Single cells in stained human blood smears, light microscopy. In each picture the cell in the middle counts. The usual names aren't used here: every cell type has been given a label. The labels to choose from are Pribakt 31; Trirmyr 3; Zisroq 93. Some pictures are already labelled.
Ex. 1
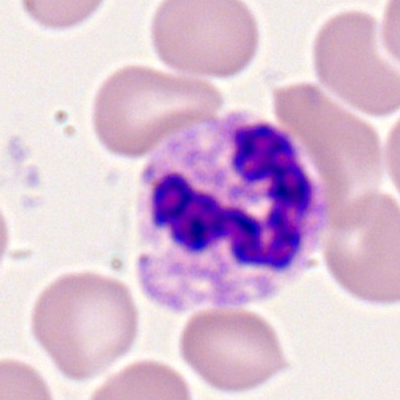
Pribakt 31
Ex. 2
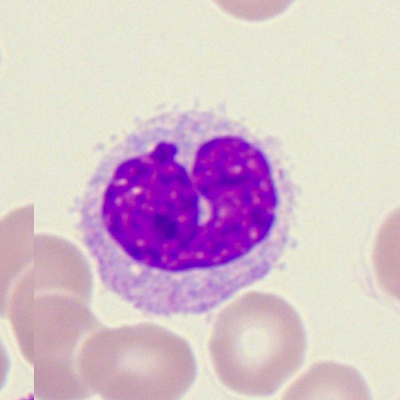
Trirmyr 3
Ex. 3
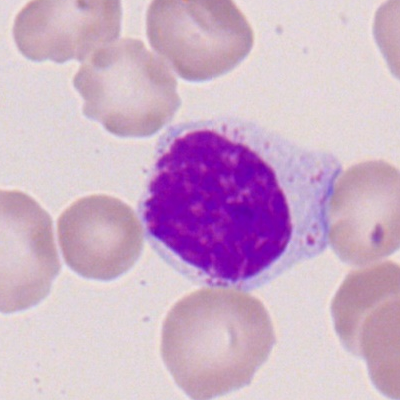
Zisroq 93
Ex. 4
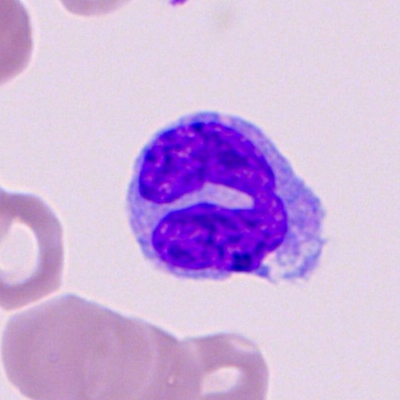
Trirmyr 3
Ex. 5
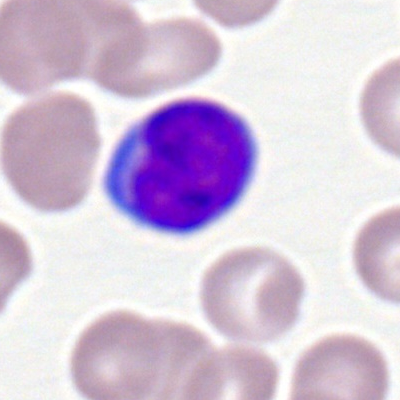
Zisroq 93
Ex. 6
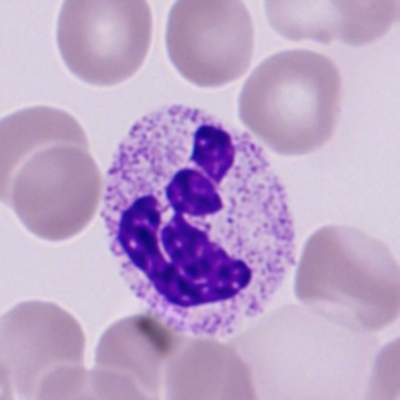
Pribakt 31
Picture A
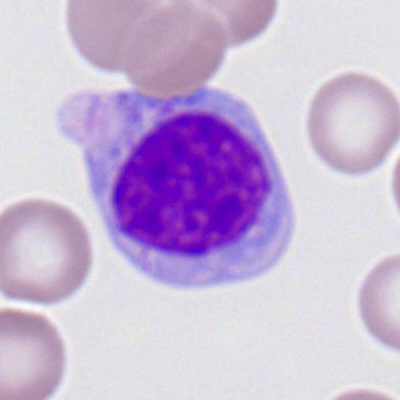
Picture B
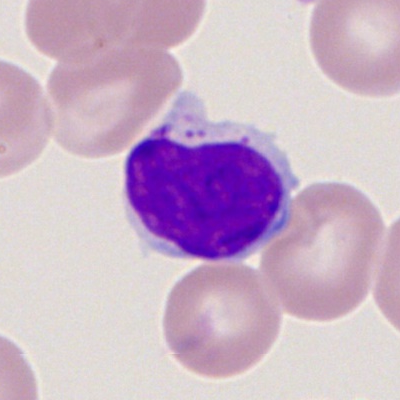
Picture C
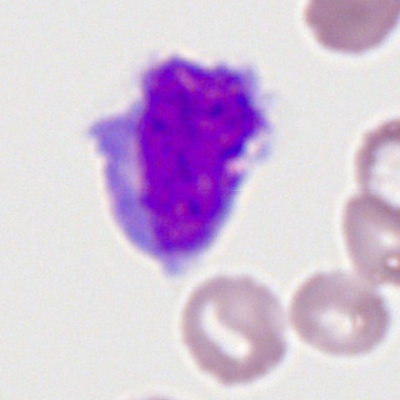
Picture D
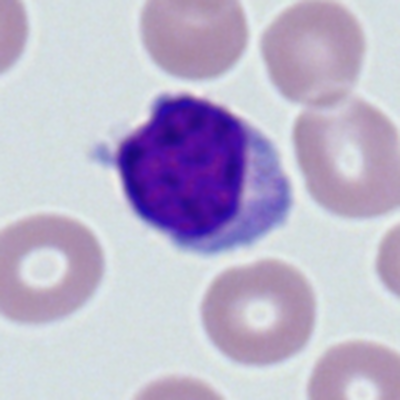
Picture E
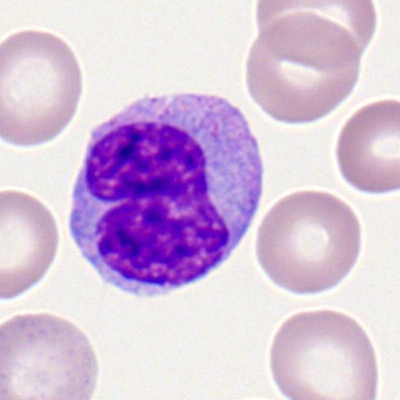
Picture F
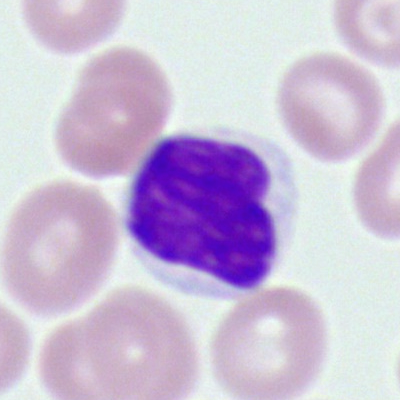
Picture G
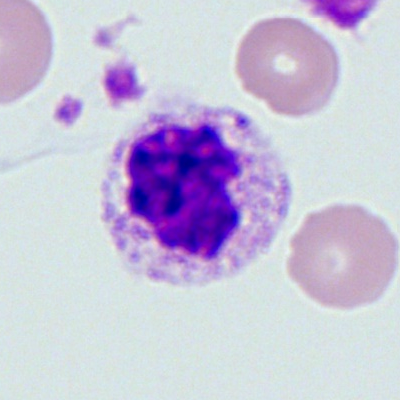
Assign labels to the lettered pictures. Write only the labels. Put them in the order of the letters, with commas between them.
Trirmyr 3, Zisroq 93, Trirmyr 3, Zisroq 93, Trirmyr 3, Zisroq 93, Pribakt 31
